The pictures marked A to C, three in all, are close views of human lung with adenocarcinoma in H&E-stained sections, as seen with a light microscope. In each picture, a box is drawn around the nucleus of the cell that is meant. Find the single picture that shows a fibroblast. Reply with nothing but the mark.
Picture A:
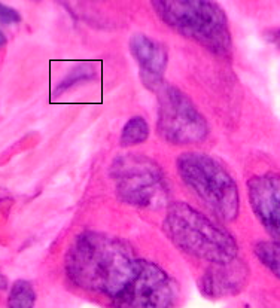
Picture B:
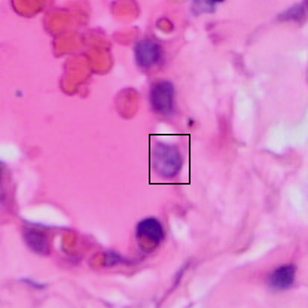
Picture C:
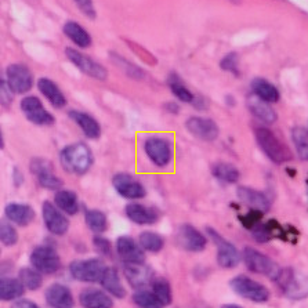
A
